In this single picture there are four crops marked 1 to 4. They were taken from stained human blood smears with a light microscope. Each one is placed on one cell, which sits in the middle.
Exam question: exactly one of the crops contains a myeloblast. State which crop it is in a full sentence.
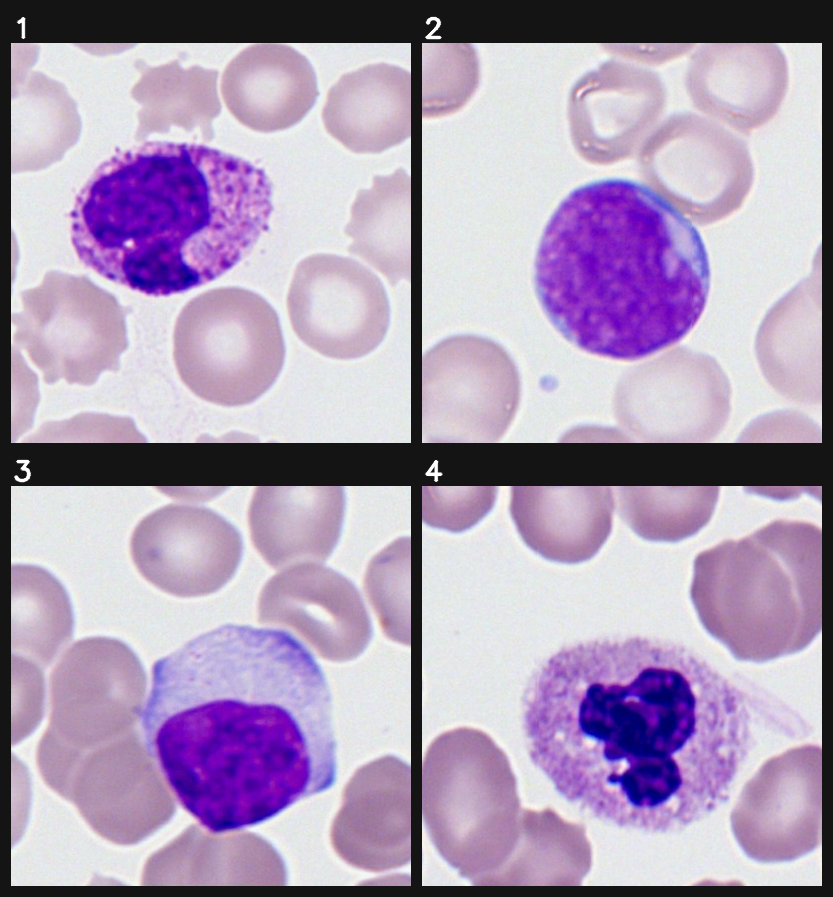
The crop showing a myeloblast in this series is crop 2.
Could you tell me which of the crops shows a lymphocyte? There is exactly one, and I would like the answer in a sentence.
The crop with a lymphocyte at its center is crop 3.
